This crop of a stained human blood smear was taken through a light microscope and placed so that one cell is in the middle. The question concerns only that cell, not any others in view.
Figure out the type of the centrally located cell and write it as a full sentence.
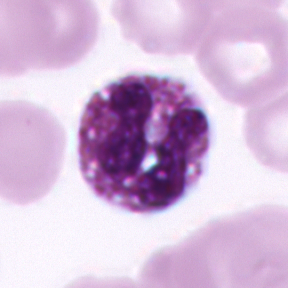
In the center of this field lies an eosinophil.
